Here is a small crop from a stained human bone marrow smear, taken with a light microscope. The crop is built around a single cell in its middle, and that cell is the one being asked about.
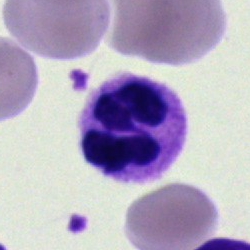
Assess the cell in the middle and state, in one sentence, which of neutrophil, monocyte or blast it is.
Answering briefly, the cell in the middle is a neutrophil.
